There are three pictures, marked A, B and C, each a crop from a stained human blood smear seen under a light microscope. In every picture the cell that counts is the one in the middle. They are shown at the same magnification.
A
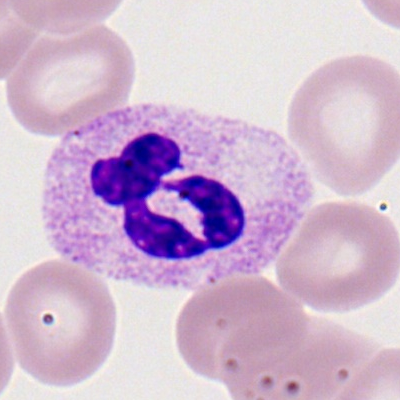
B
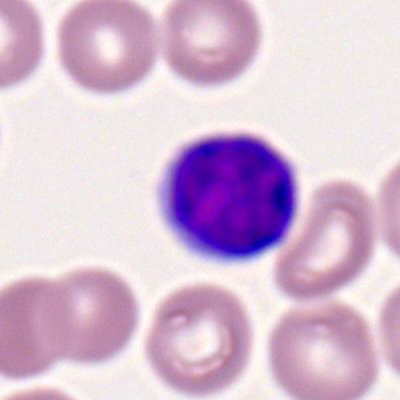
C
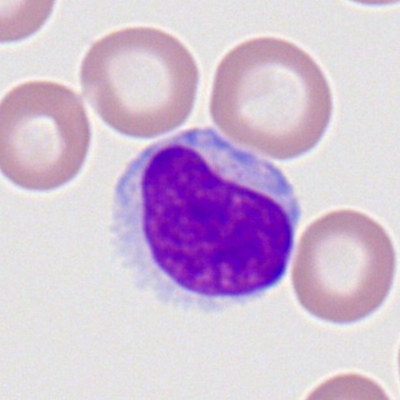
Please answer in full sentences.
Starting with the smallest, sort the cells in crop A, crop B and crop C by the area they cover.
Going up, they run B, C, A.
